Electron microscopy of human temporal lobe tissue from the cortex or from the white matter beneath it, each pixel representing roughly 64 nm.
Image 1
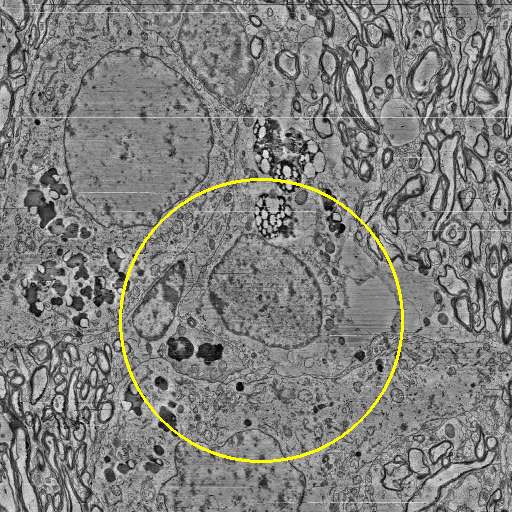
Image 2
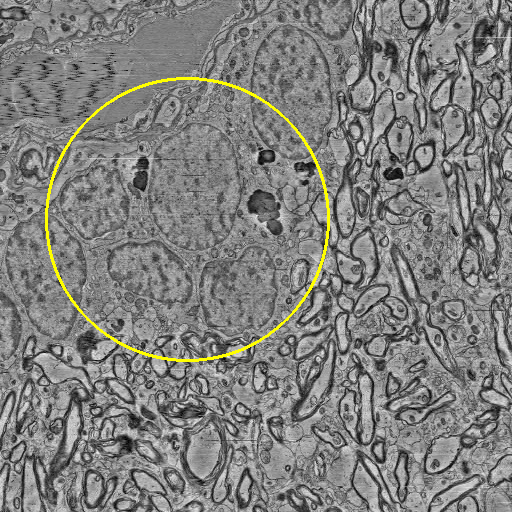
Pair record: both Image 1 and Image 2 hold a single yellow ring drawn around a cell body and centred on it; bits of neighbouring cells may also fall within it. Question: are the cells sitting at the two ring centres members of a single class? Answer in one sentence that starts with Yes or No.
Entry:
No, the ring-centre cells in Image 1 and Image 2 come from two classes.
